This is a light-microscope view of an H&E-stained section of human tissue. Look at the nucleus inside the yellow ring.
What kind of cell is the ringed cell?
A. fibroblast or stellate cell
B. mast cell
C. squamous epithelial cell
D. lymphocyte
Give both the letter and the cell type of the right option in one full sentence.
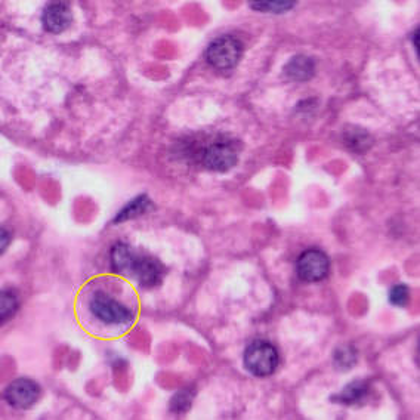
Option A is right in classifying the ringed cell as a fibroblast or stellate cell.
